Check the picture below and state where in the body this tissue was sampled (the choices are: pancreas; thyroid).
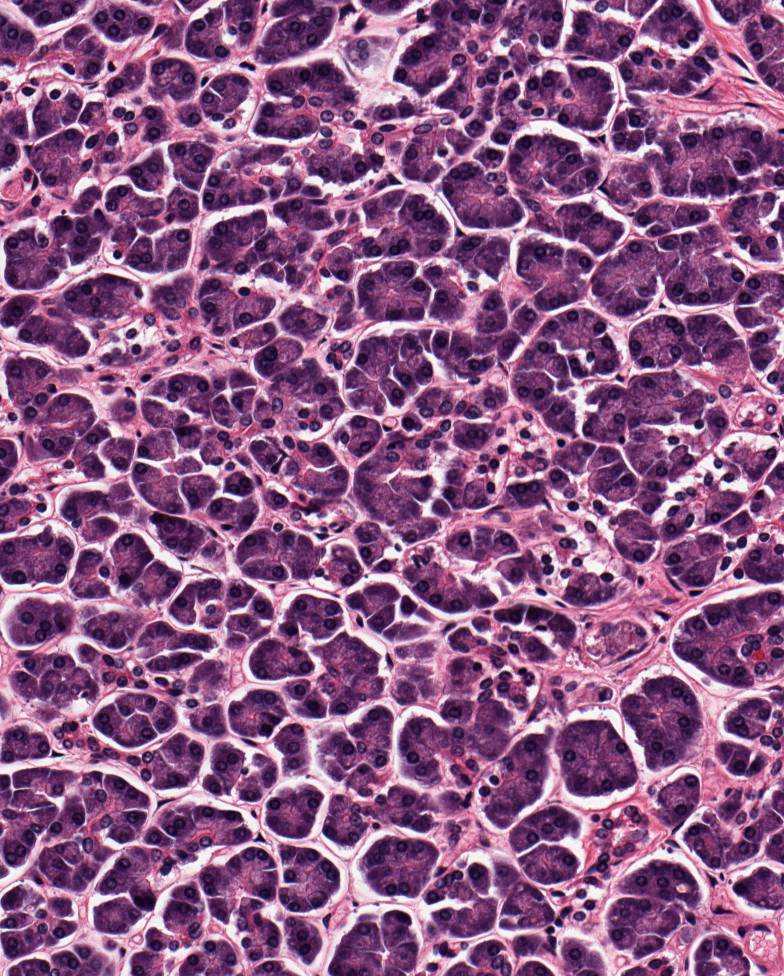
pancreas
